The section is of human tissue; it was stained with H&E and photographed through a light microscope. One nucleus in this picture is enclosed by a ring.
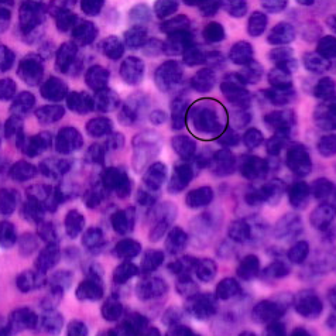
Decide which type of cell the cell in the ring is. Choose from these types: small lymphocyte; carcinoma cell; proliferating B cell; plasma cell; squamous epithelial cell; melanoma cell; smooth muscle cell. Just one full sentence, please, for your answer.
So far as cell type goes, the cell in the ring is a small lymphocyte.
